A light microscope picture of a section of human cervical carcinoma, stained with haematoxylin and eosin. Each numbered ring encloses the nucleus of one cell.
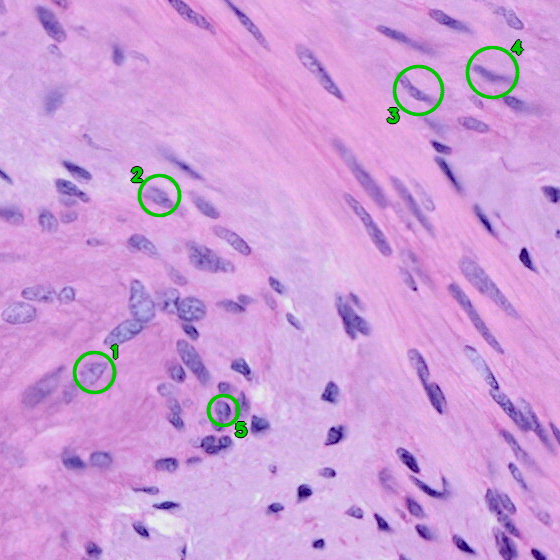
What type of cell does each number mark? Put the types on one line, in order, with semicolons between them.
smooth muscle cell; smooth muscle cell; fibroblast; fibroblast; smooth muscle cell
